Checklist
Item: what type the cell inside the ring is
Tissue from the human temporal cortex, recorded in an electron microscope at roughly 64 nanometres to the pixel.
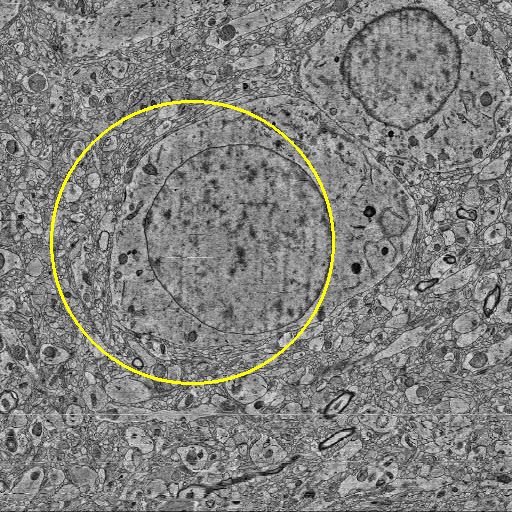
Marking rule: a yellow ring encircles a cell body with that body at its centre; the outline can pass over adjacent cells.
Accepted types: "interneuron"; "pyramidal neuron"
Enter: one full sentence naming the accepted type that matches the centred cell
The entry is that a pyramidal neuron lies at the centre of the yellow ring.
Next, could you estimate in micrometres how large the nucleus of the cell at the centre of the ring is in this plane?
The ringed cell's nucleus is about 12 micrometres across in this plane.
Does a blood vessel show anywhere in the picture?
No, there is none.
